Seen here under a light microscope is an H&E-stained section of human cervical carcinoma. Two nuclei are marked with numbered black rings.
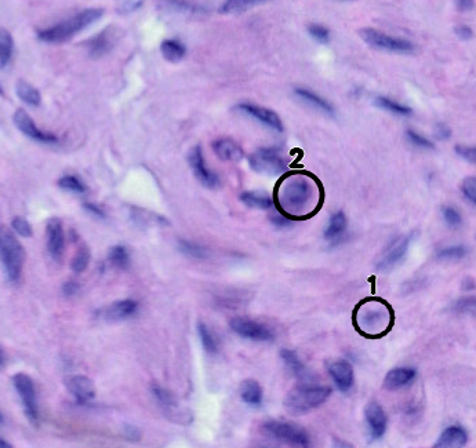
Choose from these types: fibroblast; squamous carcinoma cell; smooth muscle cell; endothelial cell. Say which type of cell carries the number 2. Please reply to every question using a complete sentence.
Looking at the numbered marks, cell 2 is an endothelial cell.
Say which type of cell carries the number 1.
The identity of cell 1 is that of a fibroblast.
